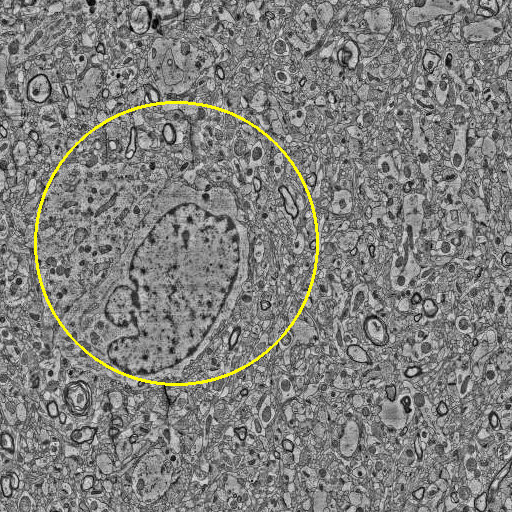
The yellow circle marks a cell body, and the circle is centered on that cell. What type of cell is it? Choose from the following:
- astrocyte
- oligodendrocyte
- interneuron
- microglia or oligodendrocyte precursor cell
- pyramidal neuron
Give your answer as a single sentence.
This cell body belongs to a microglial cell or oligodendrocyte precursor cell.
